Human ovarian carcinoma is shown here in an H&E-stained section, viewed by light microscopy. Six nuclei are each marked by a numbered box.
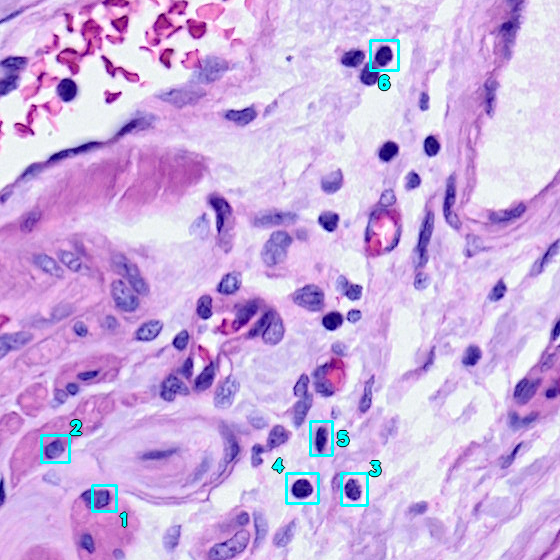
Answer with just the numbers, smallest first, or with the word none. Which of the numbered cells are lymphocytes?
3, 4, 5, 6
